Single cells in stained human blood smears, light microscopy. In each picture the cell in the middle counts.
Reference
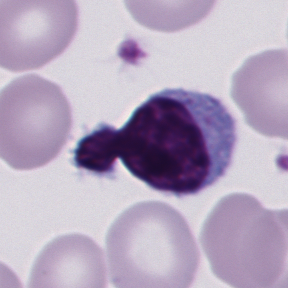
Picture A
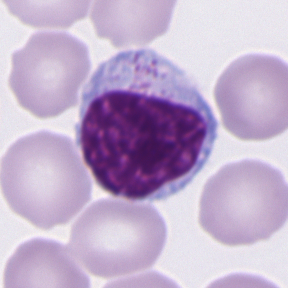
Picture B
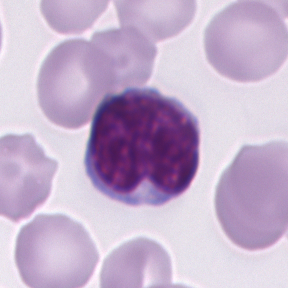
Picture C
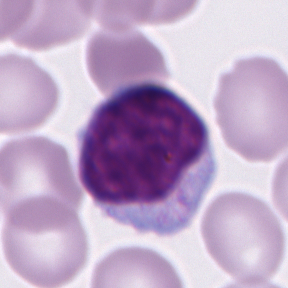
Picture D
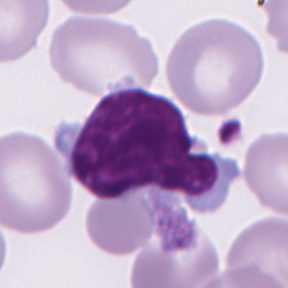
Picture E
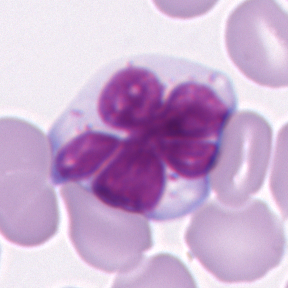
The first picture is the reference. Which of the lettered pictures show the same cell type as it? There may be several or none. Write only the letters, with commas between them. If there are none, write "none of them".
B, C, D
